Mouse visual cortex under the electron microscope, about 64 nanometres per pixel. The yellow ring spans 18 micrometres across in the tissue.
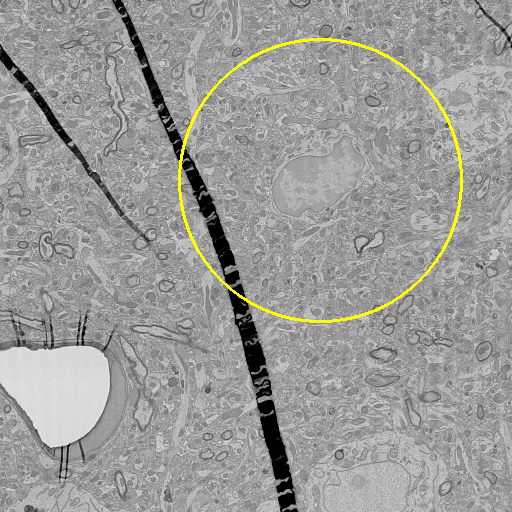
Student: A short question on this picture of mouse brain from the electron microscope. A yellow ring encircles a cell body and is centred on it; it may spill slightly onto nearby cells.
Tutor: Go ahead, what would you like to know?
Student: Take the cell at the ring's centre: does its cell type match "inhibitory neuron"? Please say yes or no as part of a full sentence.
No, the cell found at the ring's centre in the picture has another cell type.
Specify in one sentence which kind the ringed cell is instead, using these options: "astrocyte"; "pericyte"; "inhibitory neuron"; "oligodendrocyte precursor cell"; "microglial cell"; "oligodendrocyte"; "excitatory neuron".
Instead, the cell inside the ring is a microglial cell.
